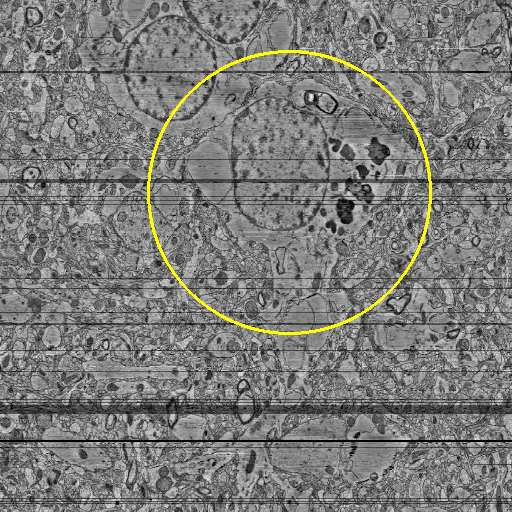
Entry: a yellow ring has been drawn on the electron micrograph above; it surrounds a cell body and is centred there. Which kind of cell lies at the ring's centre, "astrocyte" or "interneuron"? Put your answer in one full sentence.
The cell sitting at the ring's centre is an astrocyte in the micrograph above.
